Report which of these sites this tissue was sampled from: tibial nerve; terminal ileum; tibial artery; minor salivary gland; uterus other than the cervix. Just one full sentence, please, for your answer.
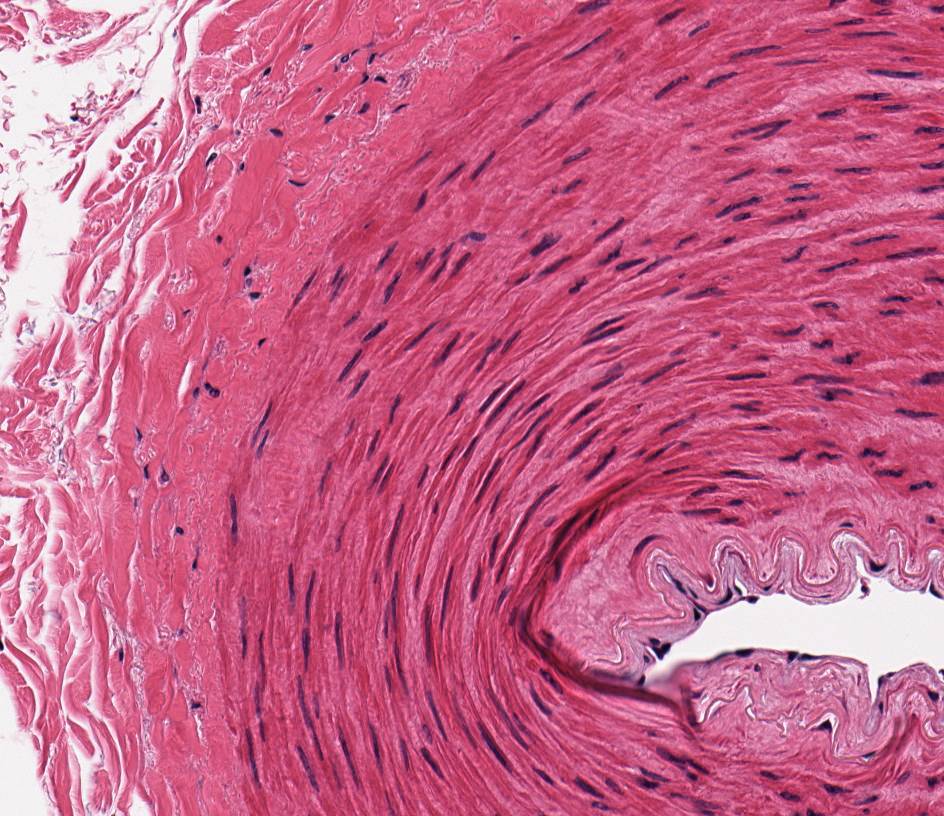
A sample from the tibial artery makes up this section.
